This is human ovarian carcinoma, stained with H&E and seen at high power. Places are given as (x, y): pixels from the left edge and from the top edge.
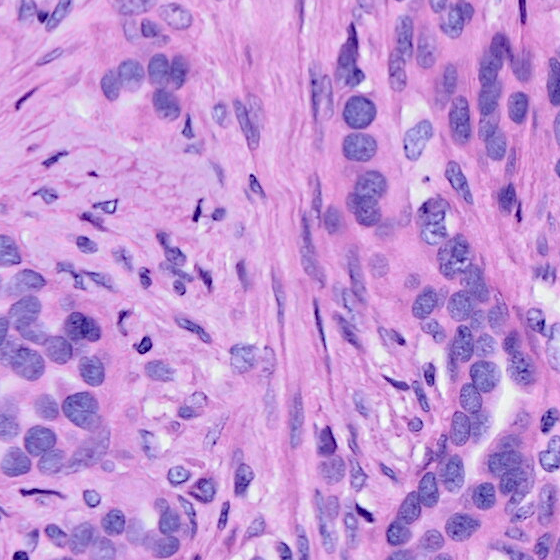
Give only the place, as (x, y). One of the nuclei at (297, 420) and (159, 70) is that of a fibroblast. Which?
(297, 420)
